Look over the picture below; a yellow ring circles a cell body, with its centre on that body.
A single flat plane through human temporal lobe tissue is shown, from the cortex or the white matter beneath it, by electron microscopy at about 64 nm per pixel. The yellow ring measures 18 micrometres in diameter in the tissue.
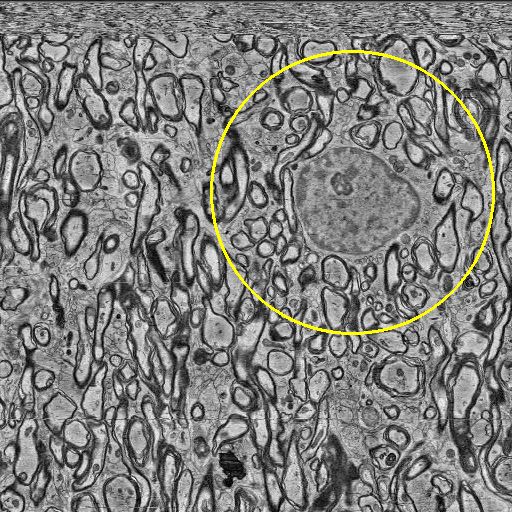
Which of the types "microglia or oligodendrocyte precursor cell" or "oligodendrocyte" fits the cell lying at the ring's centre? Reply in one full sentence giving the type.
The picture shows an oligodendrocyte at the centre of the yellow ring.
